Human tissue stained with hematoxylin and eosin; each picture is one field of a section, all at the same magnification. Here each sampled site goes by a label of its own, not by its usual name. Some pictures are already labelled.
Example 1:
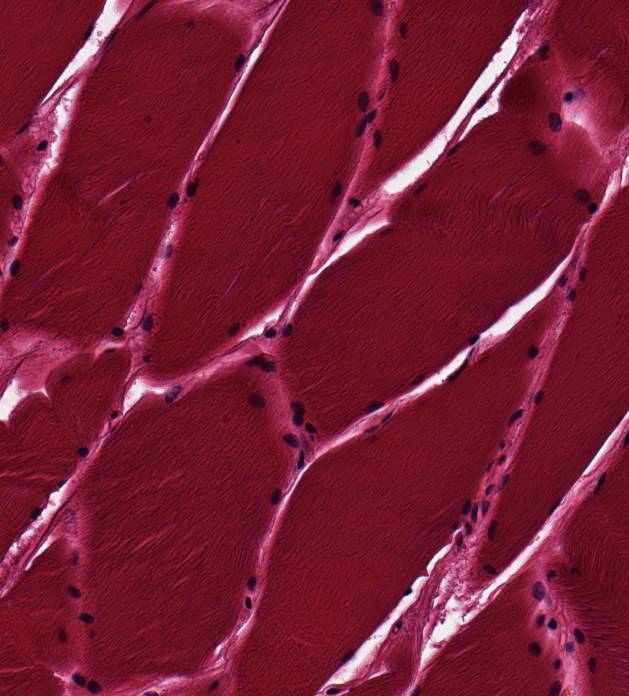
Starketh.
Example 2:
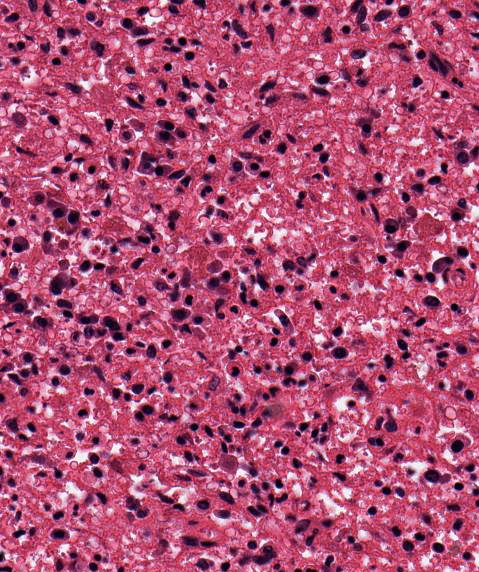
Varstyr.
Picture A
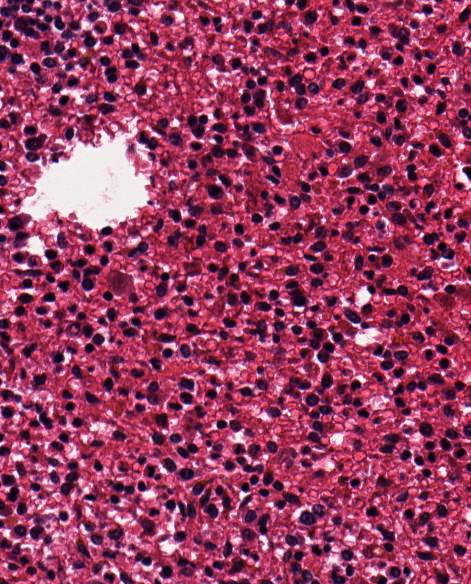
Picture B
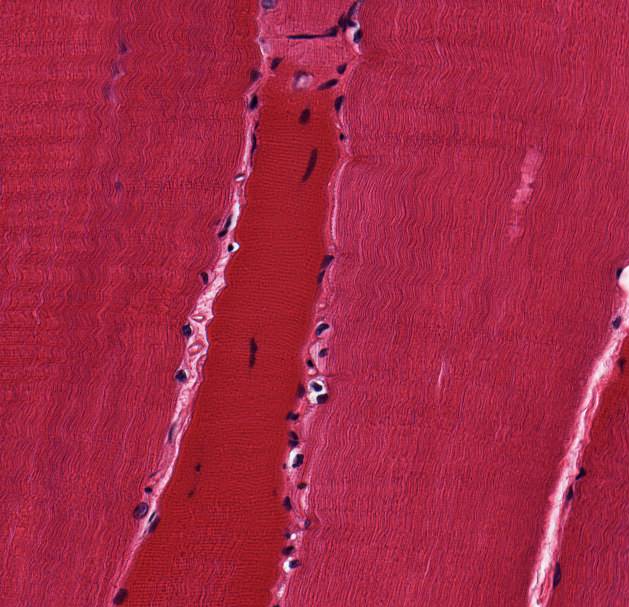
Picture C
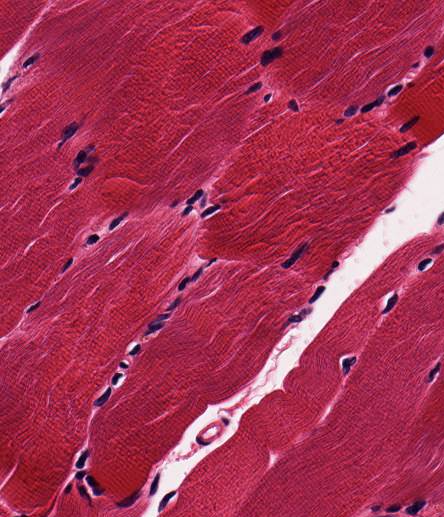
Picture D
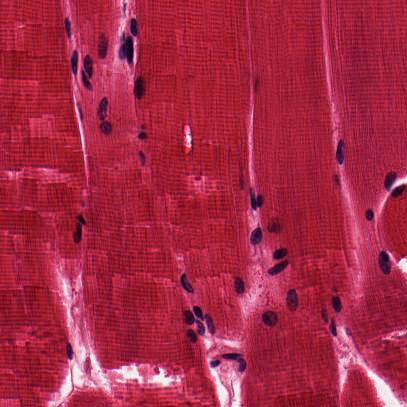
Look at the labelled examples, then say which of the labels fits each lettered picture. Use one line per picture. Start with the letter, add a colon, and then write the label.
A: Varstyr.
B: Starketh.
C: Starketh.
D: Starketh.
